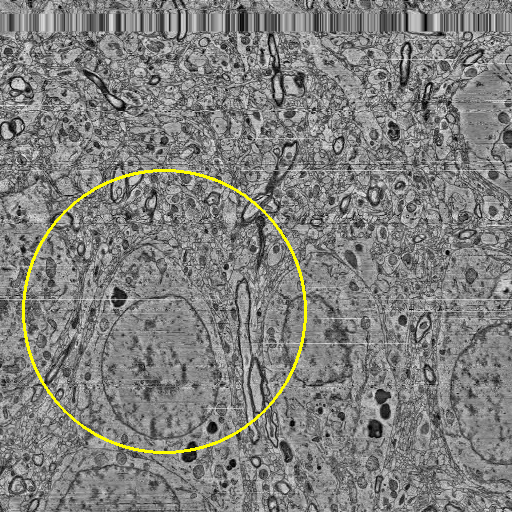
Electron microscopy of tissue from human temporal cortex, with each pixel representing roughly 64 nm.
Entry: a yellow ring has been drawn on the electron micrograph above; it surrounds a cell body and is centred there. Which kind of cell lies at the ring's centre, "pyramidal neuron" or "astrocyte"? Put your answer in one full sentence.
The cell sitting at the ring's centre is a pyramidal neuron in the micrograph above.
